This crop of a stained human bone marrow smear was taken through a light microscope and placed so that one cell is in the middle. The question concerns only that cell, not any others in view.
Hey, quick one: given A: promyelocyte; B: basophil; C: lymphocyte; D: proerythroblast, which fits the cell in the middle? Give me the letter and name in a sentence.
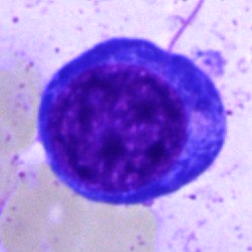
The cell in the middle is a proerythroblast, so option D is correct.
